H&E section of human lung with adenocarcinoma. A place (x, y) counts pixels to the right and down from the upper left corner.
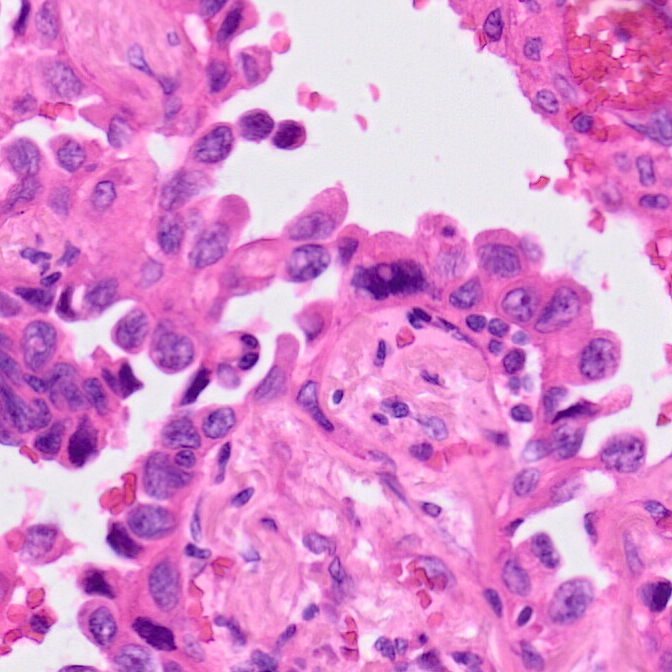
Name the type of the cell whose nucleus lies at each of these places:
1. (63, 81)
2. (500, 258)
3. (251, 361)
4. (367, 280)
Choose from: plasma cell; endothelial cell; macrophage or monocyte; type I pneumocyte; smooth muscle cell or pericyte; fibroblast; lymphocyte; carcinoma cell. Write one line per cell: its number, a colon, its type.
1: carcinoma cell
2: carcinoma cell
3: lymphocyte
4: carcinoma cell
